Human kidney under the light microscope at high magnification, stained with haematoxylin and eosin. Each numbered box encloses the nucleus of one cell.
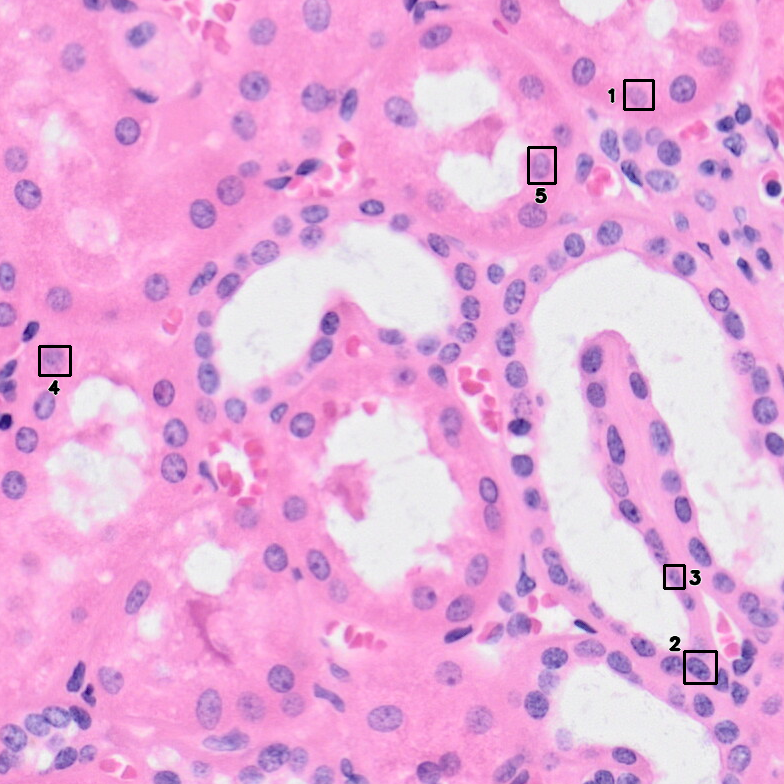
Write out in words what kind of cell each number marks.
Cell 1 is a proximal tubule cell, cell 2 is a collecting duct cell, cell 3 is a collecting duct cell, cell 4 is a proximal tubule cell and cell 5 is a proximal tubule cell.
